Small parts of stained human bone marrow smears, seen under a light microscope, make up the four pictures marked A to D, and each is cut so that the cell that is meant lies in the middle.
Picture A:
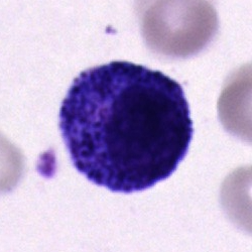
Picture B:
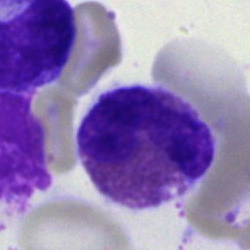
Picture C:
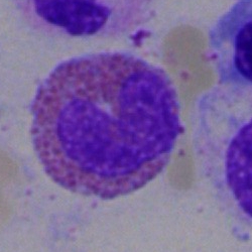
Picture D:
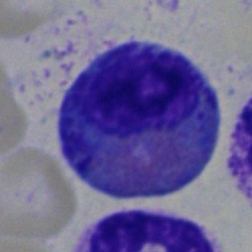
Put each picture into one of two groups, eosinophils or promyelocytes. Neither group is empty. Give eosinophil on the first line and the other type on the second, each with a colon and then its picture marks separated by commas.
eosinophil: B, C, D
promyelocyte: A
